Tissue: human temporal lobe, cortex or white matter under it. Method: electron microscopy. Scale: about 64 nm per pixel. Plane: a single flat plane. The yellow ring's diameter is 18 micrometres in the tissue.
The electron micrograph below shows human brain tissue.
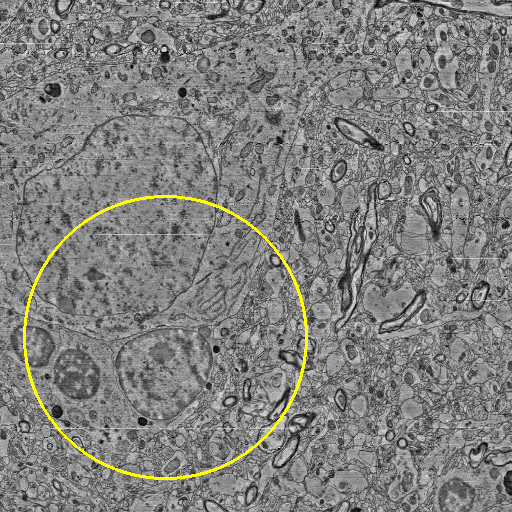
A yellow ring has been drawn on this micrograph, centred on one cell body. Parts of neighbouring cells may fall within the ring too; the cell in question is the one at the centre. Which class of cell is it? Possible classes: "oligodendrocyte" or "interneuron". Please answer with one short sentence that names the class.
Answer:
In the centre of the ring sits an oligodendrocyte.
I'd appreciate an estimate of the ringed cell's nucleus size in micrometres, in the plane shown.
In this plane, approximately 6 micrometres across.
